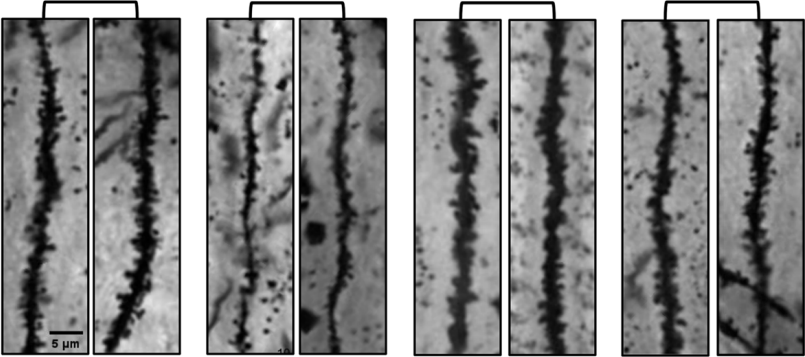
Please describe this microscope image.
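Along both edges of the shaft small knobs and short stubby protrusions stick out; these are the dendritic spines, where synapses are received. The grey background holds scattered dark specks and faint out-of-focus processes from neighbouring cells.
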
